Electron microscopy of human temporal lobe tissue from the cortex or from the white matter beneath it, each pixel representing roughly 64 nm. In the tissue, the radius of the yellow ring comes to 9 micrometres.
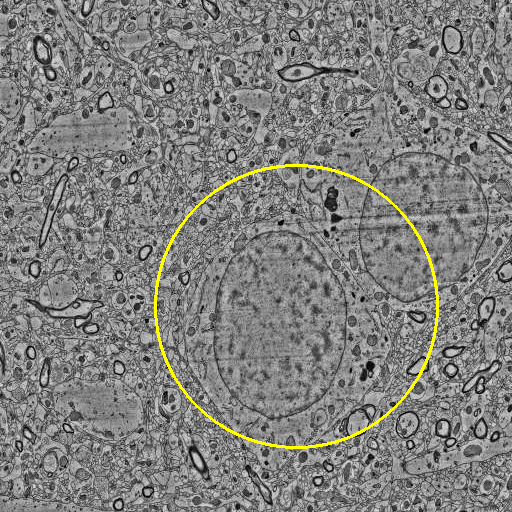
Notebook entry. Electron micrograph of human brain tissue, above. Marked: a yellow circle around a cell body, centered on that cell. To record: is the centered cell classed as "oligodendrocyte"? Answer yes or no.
No, the centered cell belongs to another kind.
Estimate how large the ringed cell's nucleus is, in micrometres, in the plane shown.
Roughly 12 by 9 micrometres is the size of the nucleus in this plane.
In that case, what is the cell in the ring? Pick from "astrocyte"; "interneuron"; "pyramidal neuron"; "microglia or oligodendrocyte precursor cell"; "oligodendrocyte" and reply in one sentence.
The ring holds a pyramidal neuron at its centre.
